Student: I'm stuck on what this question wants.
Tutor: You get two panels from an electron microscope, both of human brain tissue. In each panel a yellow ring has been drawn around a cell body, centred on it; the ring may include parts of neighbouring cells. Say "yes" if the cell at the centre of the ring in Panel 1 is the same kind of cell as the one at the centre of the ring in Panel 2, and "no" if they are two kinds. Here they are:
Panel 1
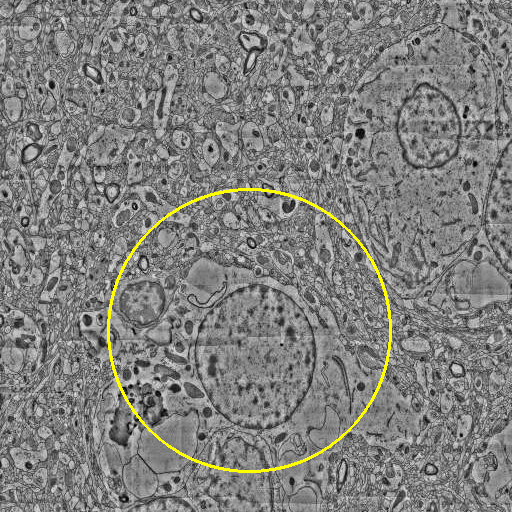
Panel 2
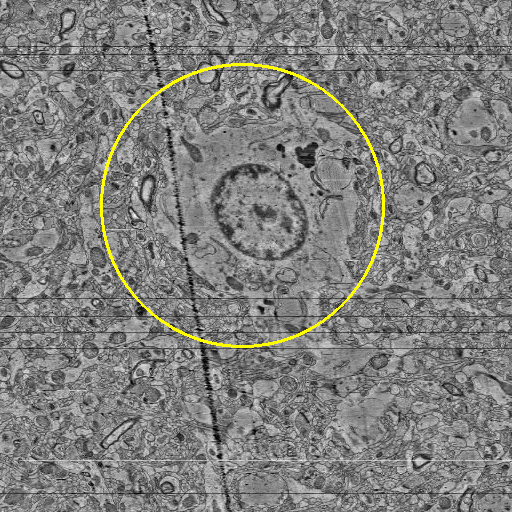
yes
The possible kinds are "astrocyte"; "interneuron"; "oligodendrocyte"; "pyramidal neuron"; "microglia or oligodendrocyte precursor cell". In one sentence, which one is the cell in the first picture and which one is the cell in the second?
The cell in the first picture is an astrocyte, and so is the one in the second.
